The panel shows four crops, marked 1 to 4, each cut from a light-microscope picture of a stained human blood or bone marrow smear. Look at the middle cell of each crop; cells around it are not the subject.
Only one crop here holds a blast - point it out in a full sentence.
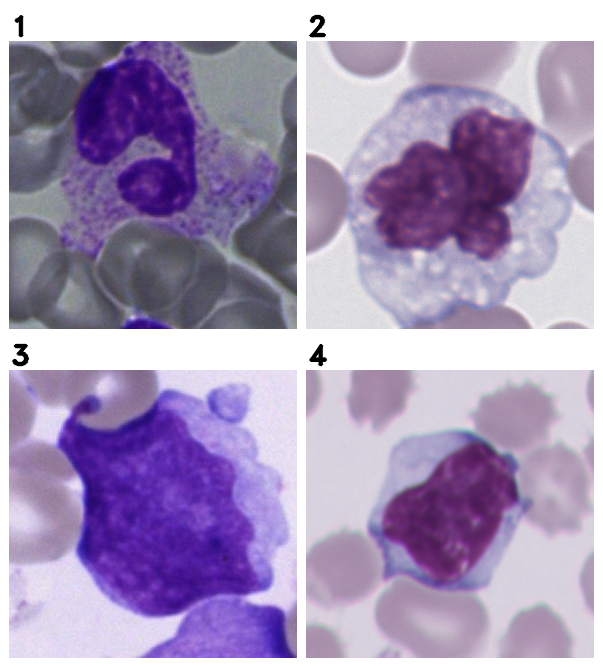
Only in crop 3 is a blast shown.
